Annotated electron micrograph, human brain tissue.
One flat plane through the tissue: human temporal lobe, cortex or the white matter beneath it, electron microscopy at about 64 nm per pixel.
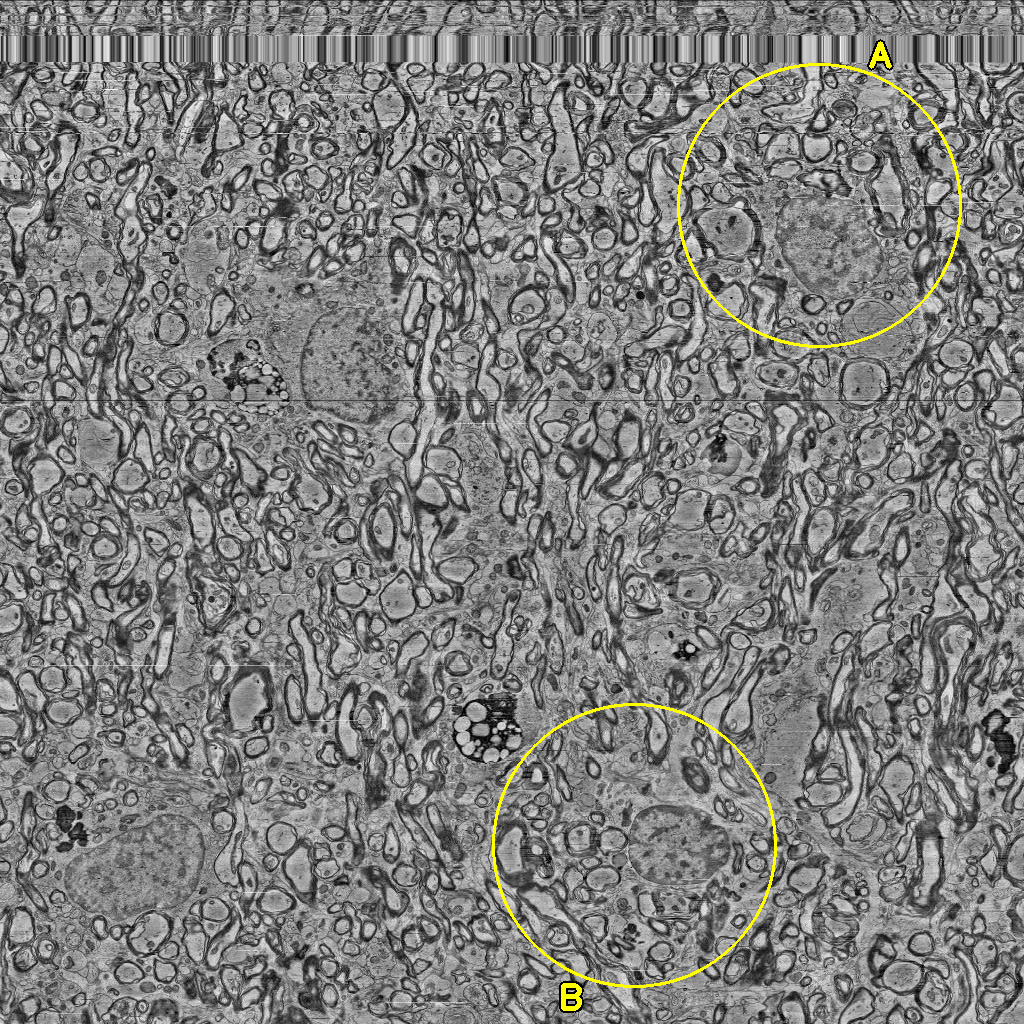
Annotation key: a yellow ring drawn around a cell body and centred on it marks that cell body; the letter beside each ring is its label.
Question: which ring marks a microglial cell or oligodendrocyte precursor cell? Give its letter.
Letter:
B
